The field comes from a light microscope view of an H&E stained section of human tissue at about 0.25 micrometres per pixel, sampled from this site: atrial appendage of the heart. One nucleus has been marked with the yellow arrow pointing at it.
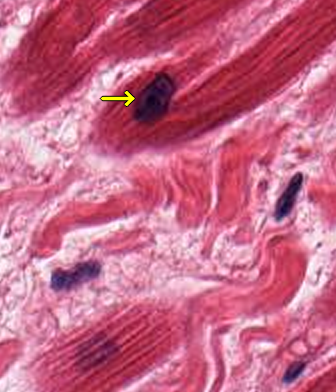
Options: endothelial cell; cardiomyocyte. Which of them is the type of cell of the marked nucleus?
cardiomyocyte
